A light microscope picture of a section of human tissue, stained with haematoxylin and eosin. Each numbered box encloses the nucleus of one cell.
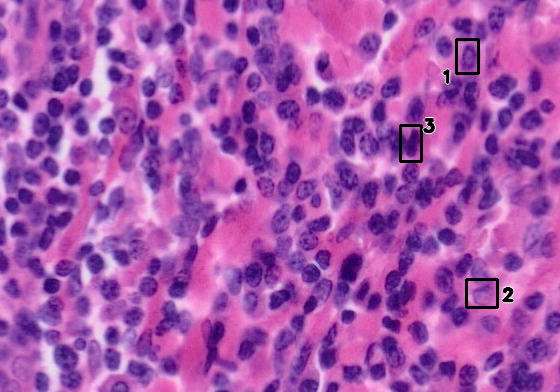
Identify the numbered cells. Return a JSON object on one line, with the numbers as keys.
{"1": "plasma cell", "2": "endothelial cell", "3": "mast cell"}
